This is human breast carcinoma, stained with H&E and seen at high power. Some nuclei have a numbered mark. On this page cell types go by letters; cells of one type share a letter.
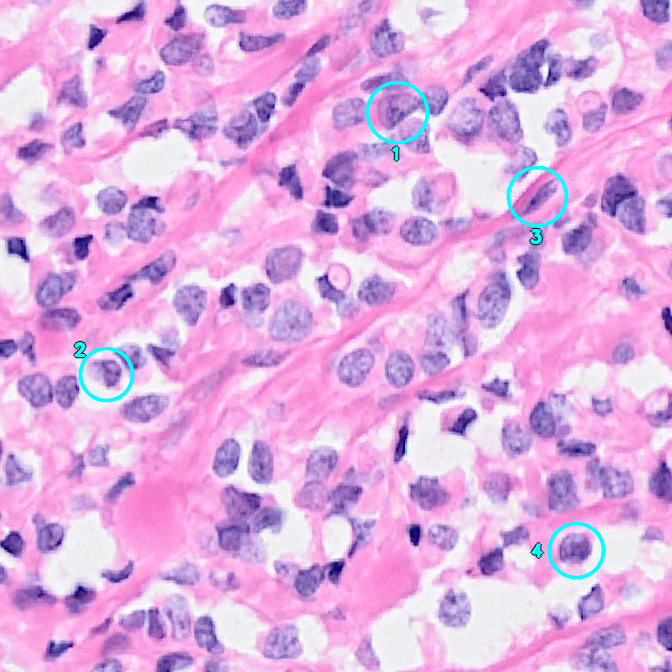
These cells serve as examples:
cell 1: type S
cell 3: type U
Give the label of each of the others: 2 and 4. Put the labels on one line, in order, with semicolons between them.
type S; type S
